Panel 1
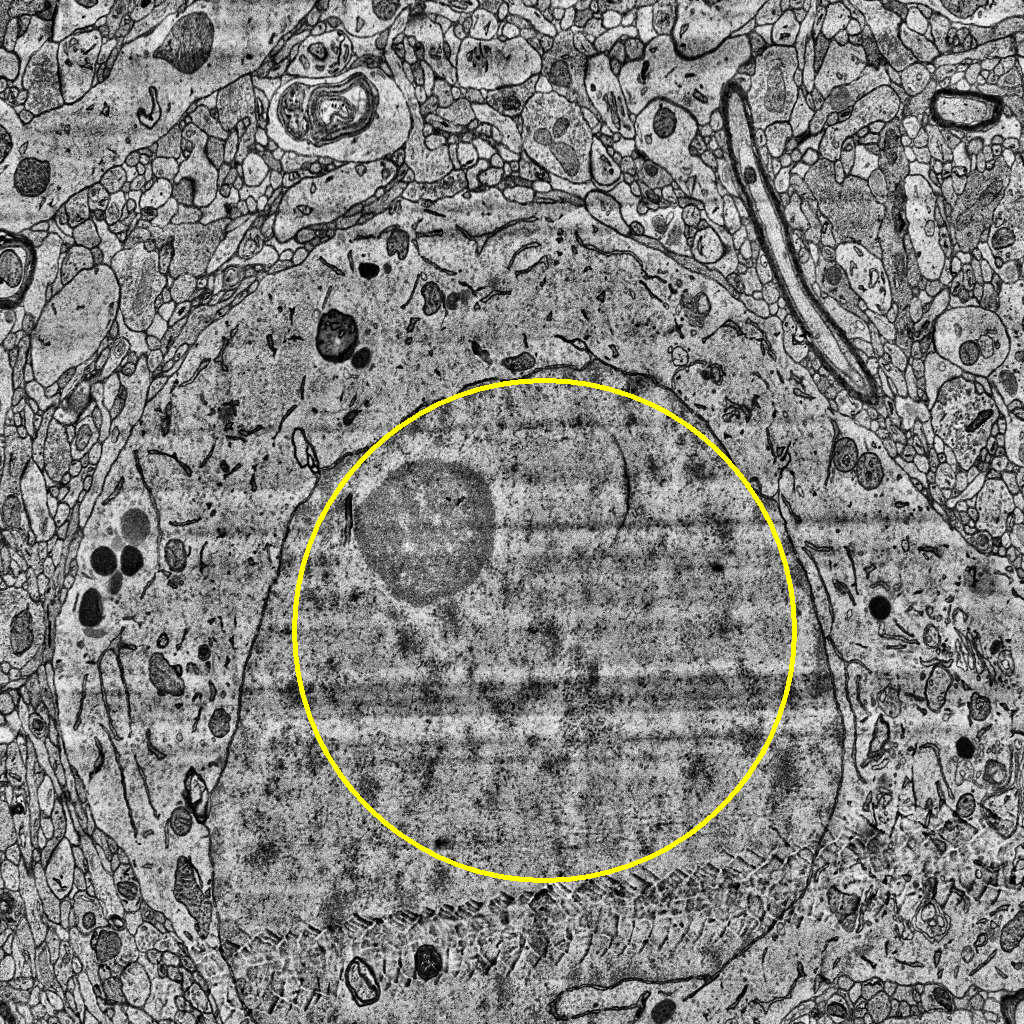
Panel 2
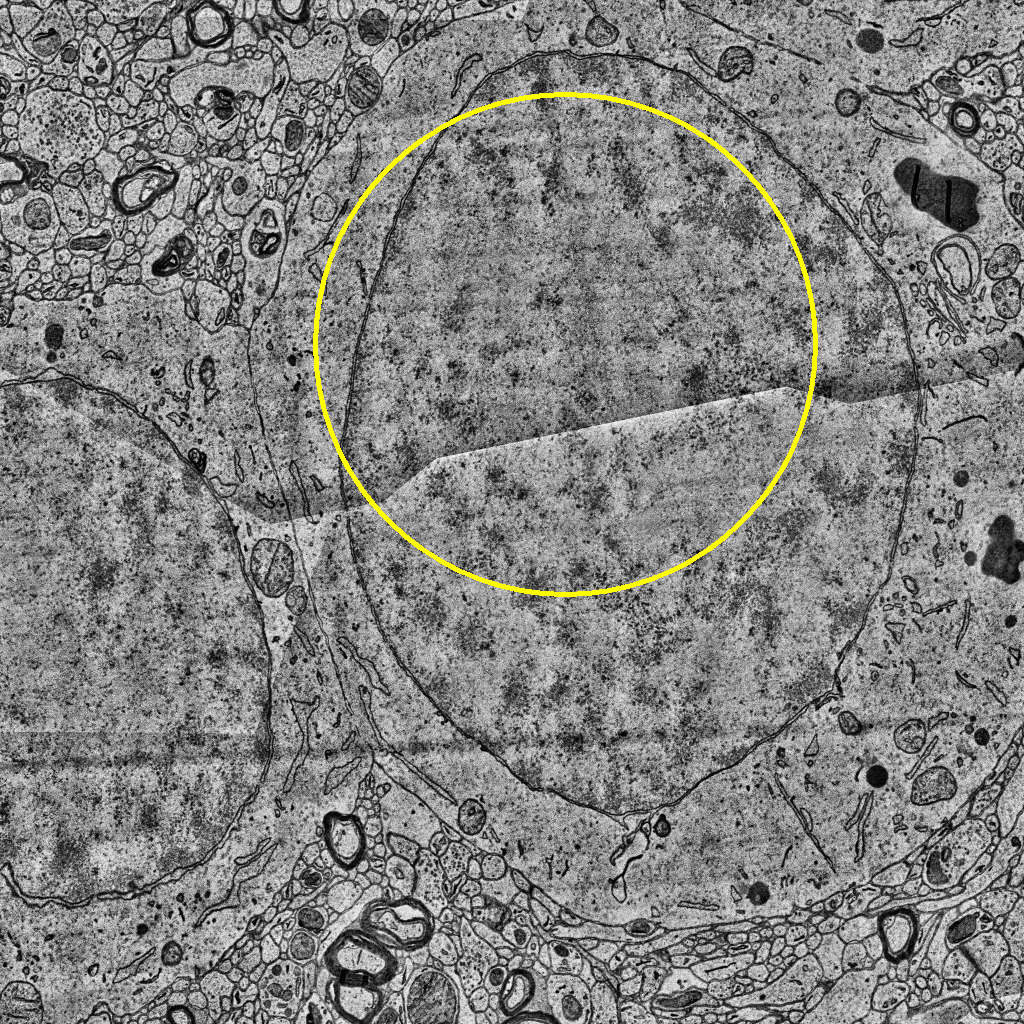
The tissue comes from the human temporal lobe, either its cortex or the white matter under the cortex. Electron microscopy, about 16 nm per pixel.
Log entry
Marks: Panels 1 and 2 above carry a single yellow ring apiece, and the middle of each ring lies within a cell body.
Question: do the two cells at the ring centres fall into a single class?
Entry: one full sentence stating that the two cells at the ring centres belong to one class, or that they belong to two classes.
The two cells at the ring centres in Panels 1 and 2 belong to one class.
